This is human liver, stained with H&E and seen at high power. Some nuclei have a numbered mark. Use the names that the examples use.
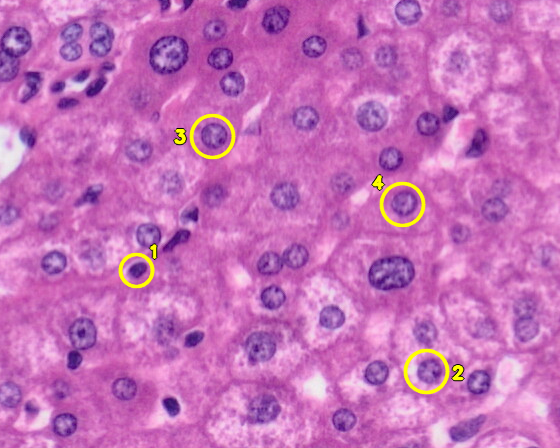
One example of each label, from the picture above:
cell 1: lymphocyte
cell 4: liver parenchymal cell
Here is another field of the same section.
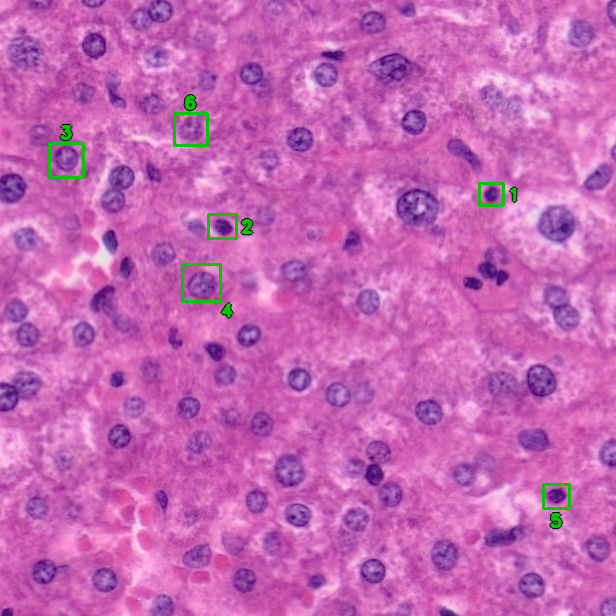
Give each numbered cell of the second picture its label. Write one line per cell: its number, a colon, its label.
1: lymphocyte
2: lymphocyte
3: liver parenchymal cell
4: liver parenchymal cell
5: lymphocyte
6: liver parenchymal cell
